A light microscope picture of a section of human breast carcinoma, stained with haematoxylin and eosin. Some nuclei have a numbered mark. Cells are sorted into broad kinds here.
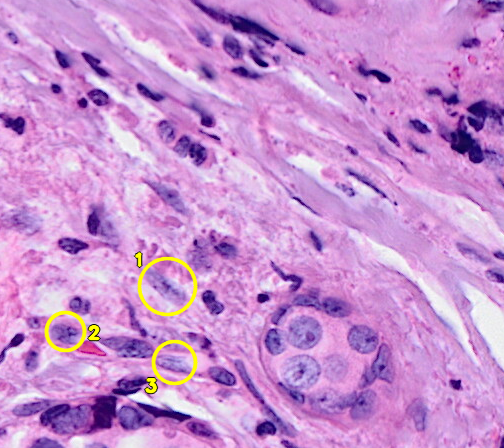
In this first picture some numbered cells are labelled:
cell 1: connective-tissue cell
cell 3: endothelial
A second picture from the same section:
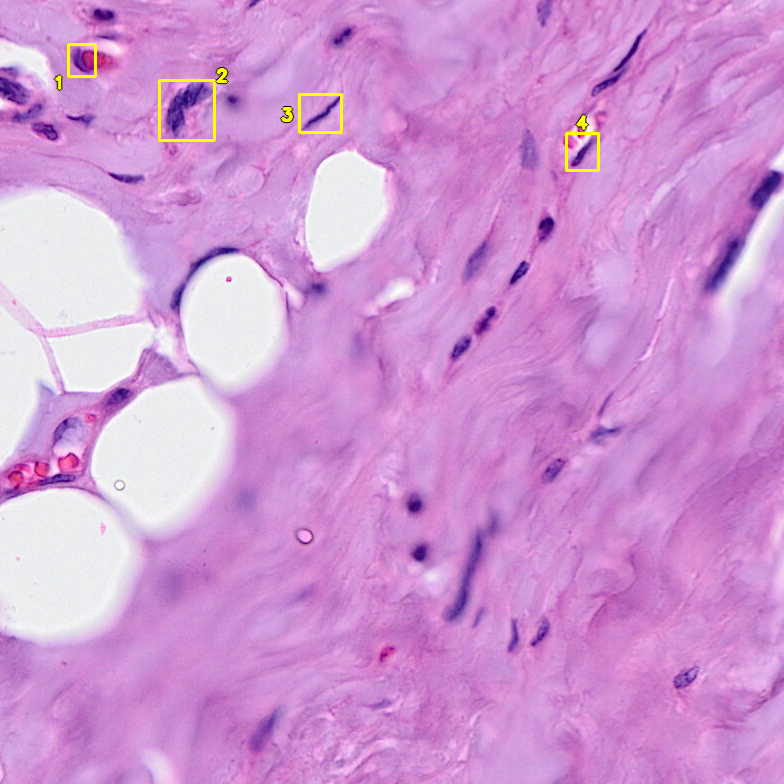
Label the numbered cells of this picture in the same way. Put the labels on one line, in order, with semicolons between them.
endothelial; connective-tissue cell; connective-tissue cell; endothelial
